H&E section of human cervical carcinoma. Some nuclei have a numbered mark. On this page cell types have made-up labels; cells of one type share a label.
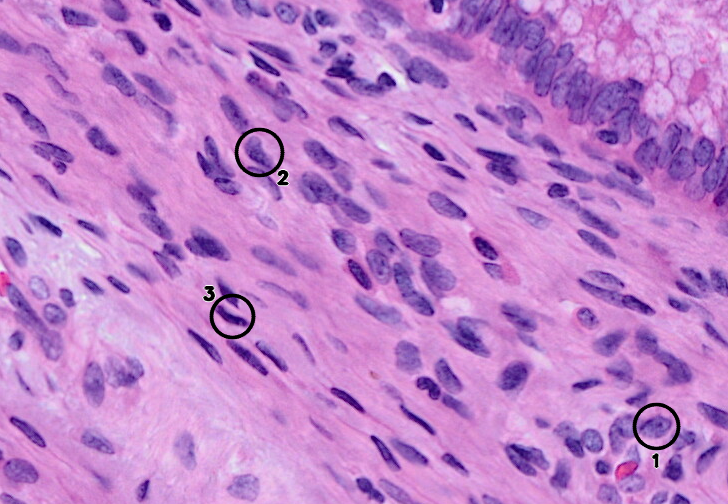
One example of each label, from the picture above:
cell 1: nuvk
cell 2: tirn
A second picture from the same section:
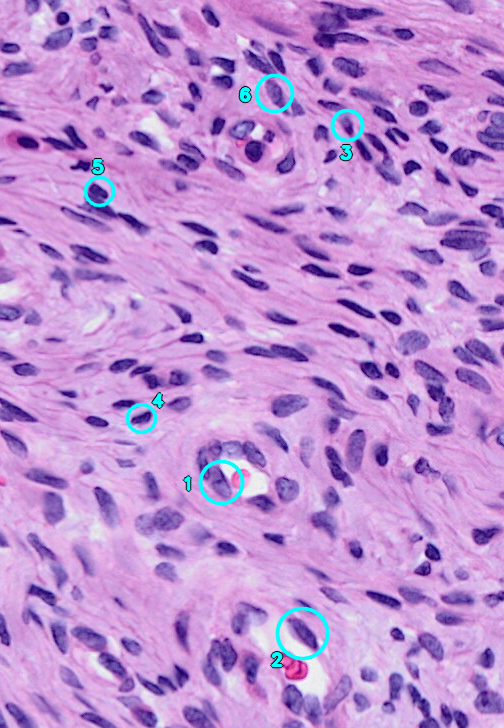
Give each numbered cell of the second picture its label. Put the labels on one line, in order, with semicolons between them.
nuvk; nuvk; tirn; tirn; tirn; tirn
